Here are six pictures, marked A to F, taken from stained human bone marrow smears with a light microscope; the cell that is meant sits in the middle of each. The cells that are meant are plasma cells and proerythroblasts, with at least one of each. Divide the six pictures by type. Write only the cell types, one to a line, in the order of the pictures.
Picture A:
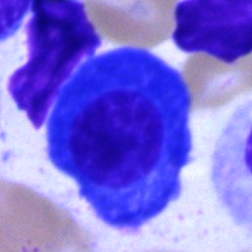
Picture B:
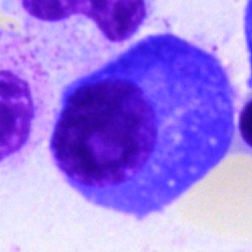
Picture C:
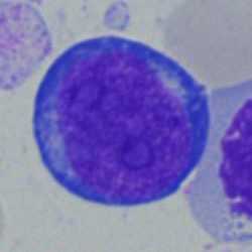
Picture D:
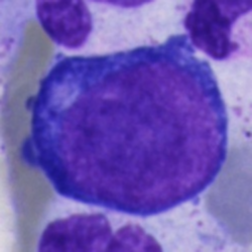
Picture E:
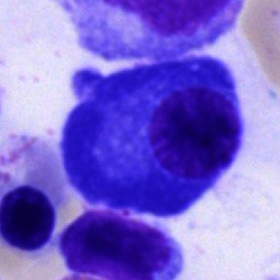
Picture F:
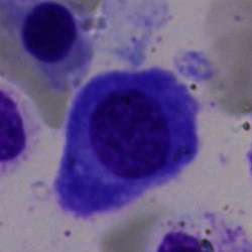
plasma cell
plasma cell
proerythroblast
proerythroblast
plasma cell
plasma cell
